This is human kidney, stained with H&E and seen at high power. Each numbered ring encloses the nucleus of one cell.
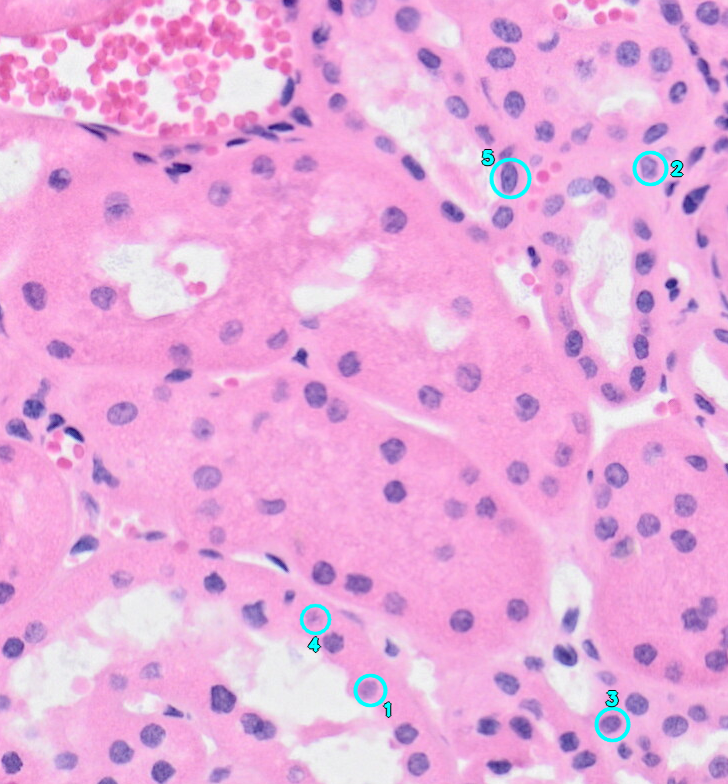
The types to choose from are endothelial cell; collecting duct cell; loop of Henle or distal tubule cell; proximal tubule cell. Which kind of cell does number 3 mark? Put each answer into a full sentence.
The cell given label 3 is a collecting duct cell.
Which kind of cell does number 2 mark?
Identified as a collecting duct cell is the cell bearing the number 2.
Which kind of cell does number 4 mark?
Cell 4 in the field of view is a loop of Henle or distal tubule cell.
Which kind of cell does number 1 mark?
Cell 1, as marked in the section, is a loop of Henle or distal tubule cell.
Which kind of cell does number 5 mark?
In this section, the cell tagged 5 is a collecting duct cell.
